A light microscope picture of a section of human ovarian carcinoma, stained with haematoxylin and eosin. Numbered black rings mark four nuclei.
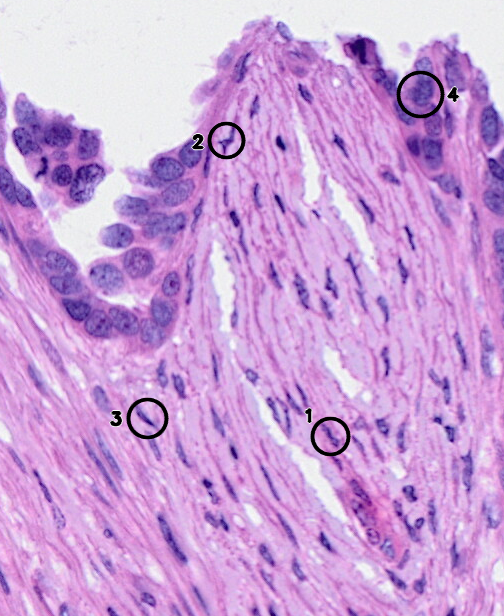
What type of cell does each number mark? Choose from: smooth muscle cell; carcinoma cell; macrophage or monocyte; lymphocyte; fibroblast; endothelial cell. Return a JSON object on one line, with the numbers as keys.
{"1": "fibroblast", "2": "fibroblast", "3": "fibroblast", "4": "carcinoma cell"}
